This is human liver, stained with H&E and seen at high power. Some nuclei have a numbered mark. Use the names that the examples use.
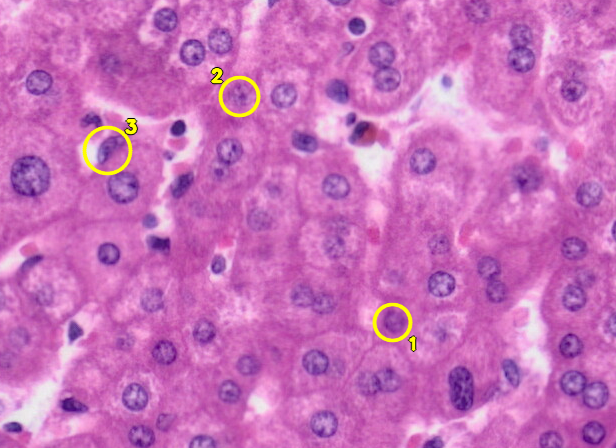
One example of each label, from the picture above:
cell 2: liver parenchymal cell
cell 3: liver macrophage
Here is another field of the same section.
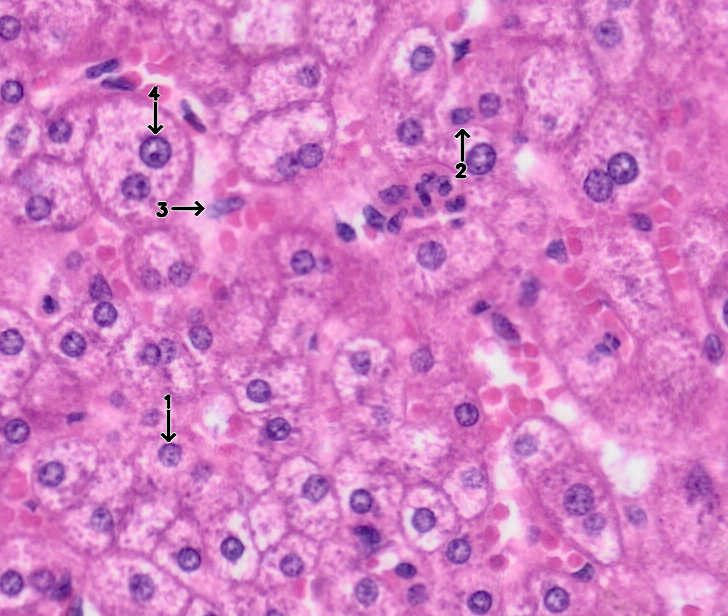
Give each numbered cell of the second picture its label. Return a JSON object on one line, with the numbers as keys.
{"1": "liver parenchymal cell", "2": "liver macrophage", "3": "liver macrophage", "4": "liver parenchymal cell"}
